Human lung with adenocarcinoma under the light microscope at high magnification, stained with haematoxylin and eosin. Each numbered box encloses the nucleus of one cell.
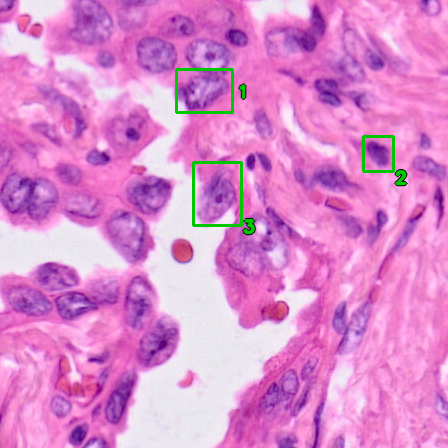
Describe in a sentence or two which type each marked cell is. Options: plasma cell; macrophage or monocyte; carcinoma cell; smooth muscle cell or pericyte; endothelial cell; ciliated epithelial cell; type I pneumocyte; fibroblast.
Cell 1 is a carcinoma cell, cell 2 is a plasma cell and cell 3 is a carcinoma cell.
